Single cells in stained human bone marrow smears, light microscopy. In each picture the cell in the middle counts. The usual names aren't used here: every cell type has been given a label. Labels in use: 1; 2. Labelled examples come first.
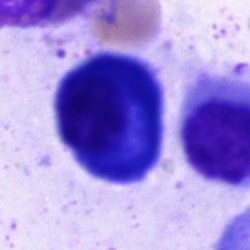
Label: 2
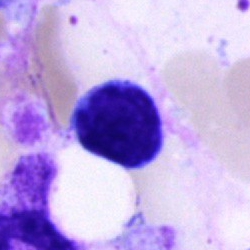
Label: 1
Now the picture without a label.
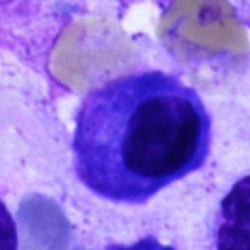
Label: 2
